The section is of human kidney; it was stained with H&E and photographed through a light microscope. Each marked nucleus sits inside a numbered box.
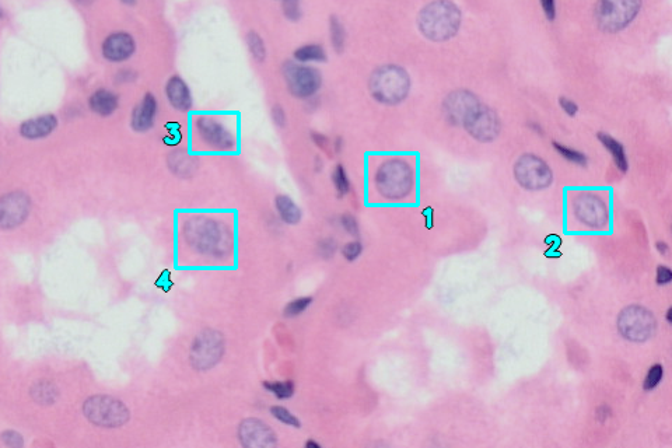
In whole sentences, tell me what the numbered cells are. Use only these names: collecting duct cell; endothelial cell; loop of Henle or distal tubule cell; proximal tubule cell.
Cell 1 is a proximal tubule cell, cell 2 is a proximal tubule cell, cell 3 is a loop of Henle or distal tubule cell and cell 4 is a proximal tubule cell.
